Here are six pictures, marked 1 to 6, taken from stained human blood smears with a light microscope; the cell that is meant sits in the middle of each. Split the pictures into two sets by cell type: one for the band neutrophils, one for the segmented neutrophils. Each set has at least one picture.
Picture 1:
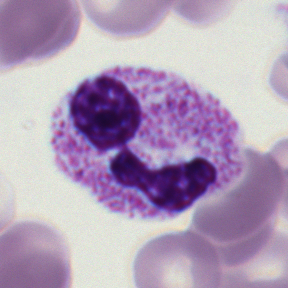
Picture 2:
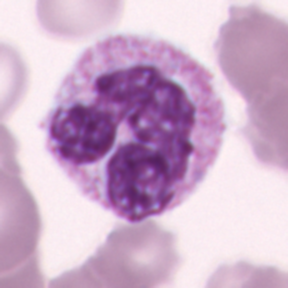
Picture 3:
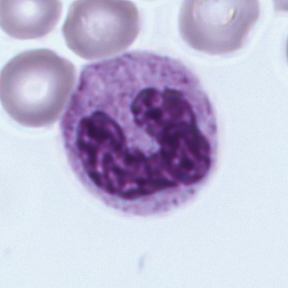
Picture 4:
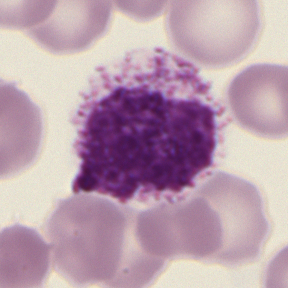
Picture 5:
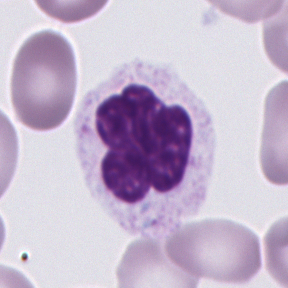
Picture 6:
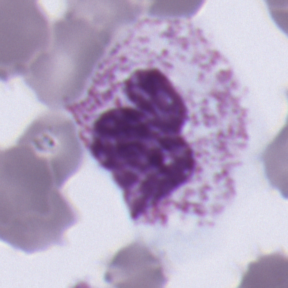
1: segmented neutrophil
2: segmented neutrophil
3: band neutrophil
4: band neutrophil
5: segmented neutrophil
6: segmented neutrophil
